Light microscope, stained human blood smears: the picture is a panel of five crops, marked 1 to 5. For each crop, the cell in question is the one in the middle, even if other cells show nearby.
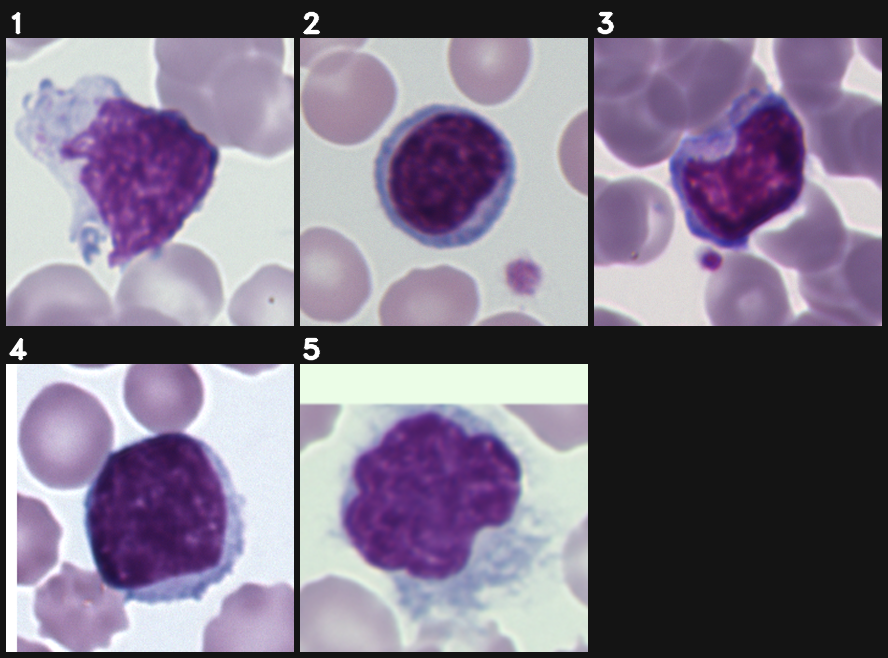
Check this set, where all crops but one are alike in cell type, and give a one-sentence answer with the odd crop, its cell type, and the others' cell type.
Crop 5 holds a hairy cell, unlike the remaining crops, all of which hold typical lymphocytes.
